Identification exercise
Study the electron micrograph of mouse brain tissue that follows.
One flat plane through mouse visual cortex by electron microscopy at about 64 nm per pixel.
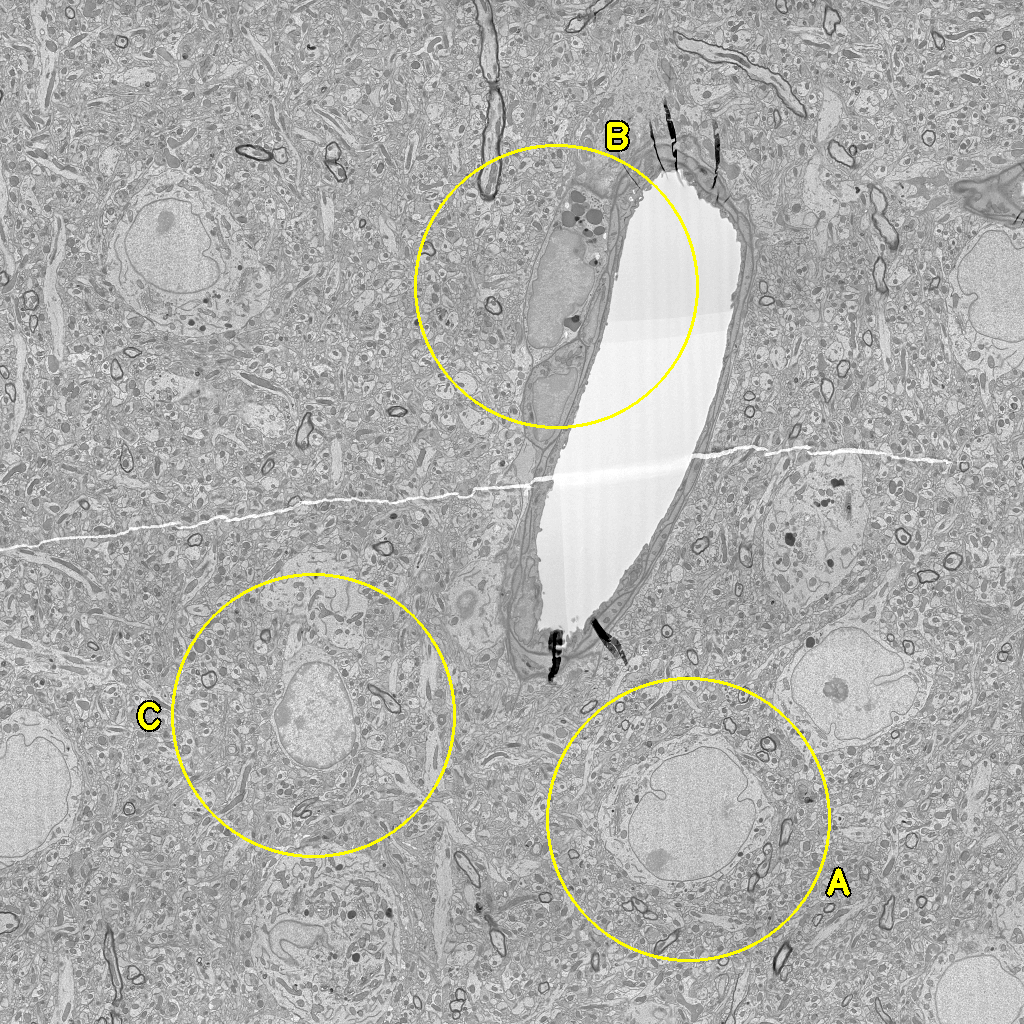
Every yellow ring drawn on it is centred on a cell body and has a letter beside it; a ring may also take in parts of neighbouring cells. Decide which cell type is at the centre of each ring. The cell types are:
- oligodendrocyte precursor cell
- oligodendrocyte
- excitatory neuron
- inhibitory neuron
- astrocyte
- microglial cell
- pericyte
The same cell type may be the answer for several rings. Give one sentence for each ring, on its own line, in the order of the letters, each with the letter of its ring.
Ring A encircles an excitatory neuron.
Ring B encircles a microglial cell.
Ring C encircles an oligodendrocyte.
